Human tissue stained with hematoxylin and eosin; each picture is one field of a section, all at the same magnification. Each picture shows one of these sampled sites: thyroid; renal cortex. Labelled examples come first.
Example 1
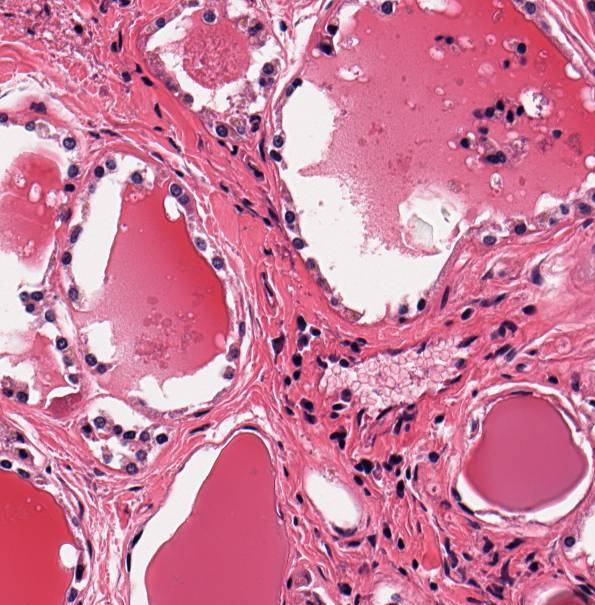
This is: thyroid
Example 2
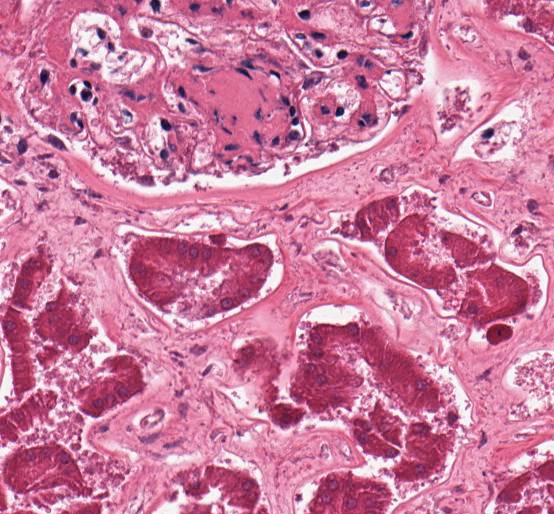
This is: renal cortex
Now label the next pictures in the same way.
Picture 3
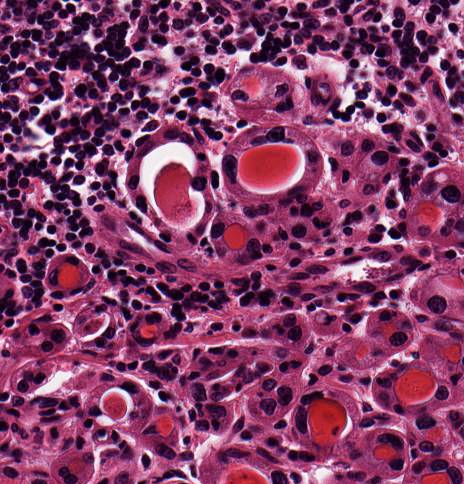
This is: thyroid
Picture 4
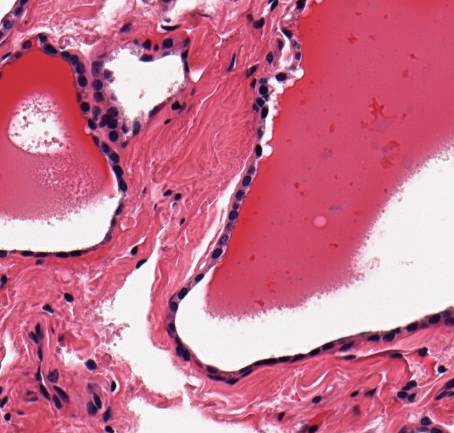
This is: thyroid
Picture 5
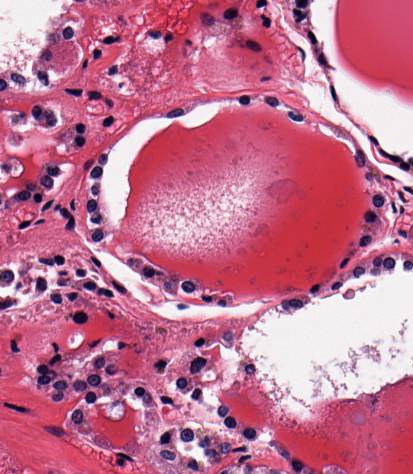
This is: thyroid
